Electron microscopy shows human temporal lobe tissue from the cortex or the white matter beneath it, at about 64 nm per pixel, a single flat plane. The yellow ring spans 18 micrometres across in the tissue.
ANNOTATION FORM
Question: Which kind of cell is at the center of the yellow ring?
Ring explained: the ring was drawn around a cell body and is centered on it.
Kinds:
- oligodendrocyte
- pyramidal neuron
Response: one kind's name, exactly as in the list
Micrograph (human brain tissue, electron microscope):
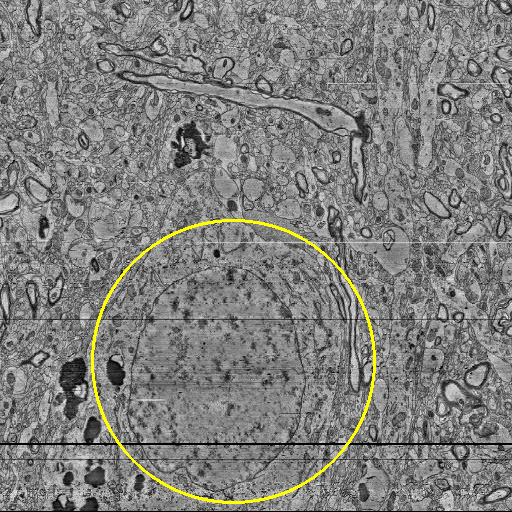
pyramidal neuron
